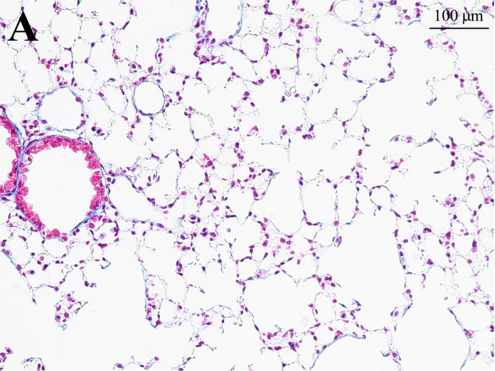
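This is lung parenchyma with open alveoli bounded by thin, delicate septa carrying scattered dark red nuclei. At the left edge a small airway is lined by a pink-red epithelium with a thin blue rim of connective tissue beneath it, and a small vessel with a thin wall lies nearby.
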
